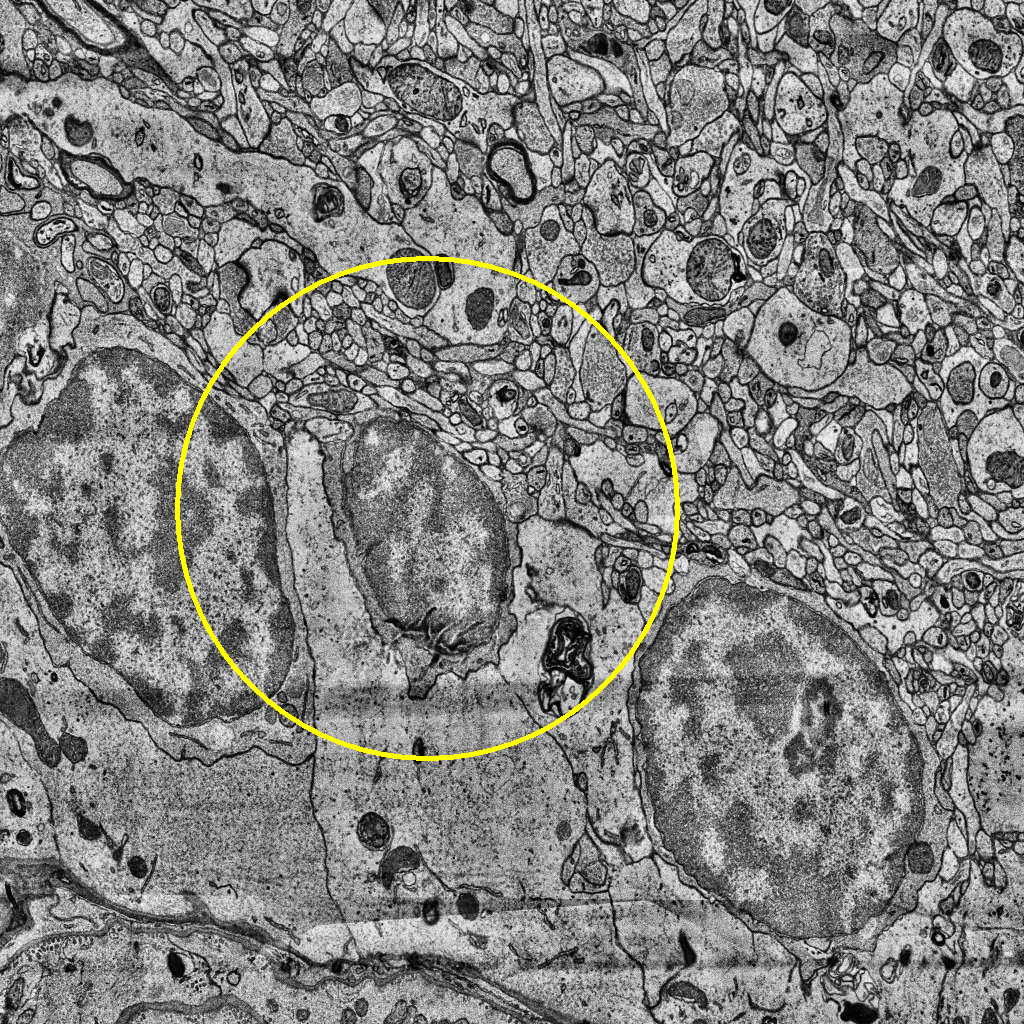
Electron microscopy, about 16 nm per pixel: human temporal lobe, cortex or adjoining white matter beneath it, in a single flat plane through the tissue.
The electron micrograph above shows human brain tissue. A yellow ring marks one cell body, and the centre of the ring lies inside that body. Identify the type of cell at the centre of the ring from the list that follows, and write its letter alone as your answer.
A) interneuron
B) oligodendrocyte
B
